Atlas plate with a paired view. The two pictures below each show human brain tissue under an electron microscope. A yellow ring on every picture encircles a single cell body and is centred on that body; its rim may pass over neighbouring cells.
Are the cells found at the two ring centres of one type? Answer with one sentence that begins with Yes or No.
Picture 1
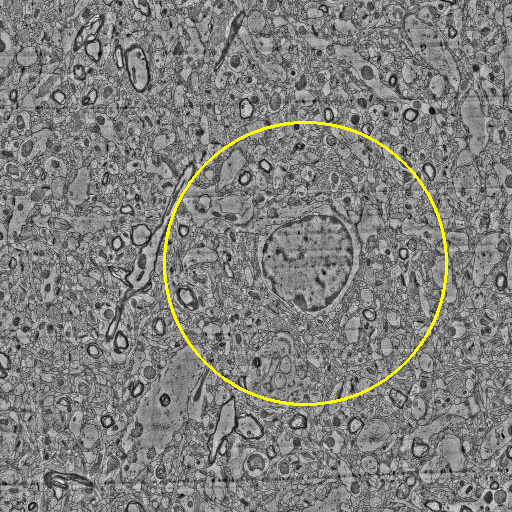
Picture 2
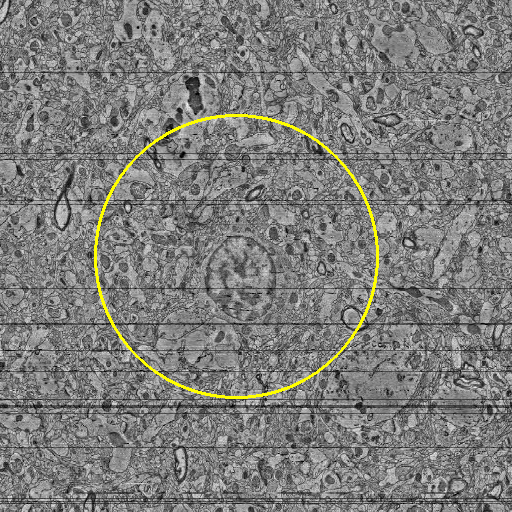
No, the two cells lying at the centres of the rings are of two types.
